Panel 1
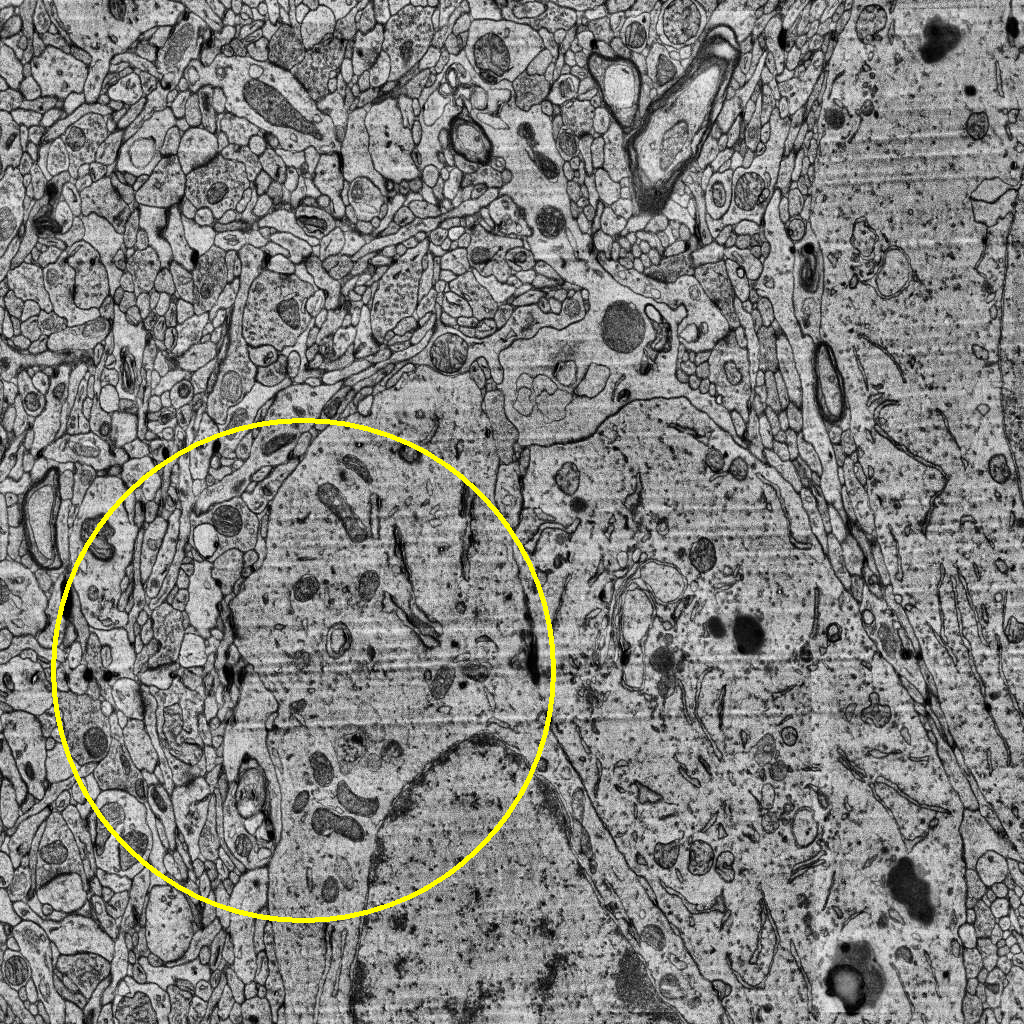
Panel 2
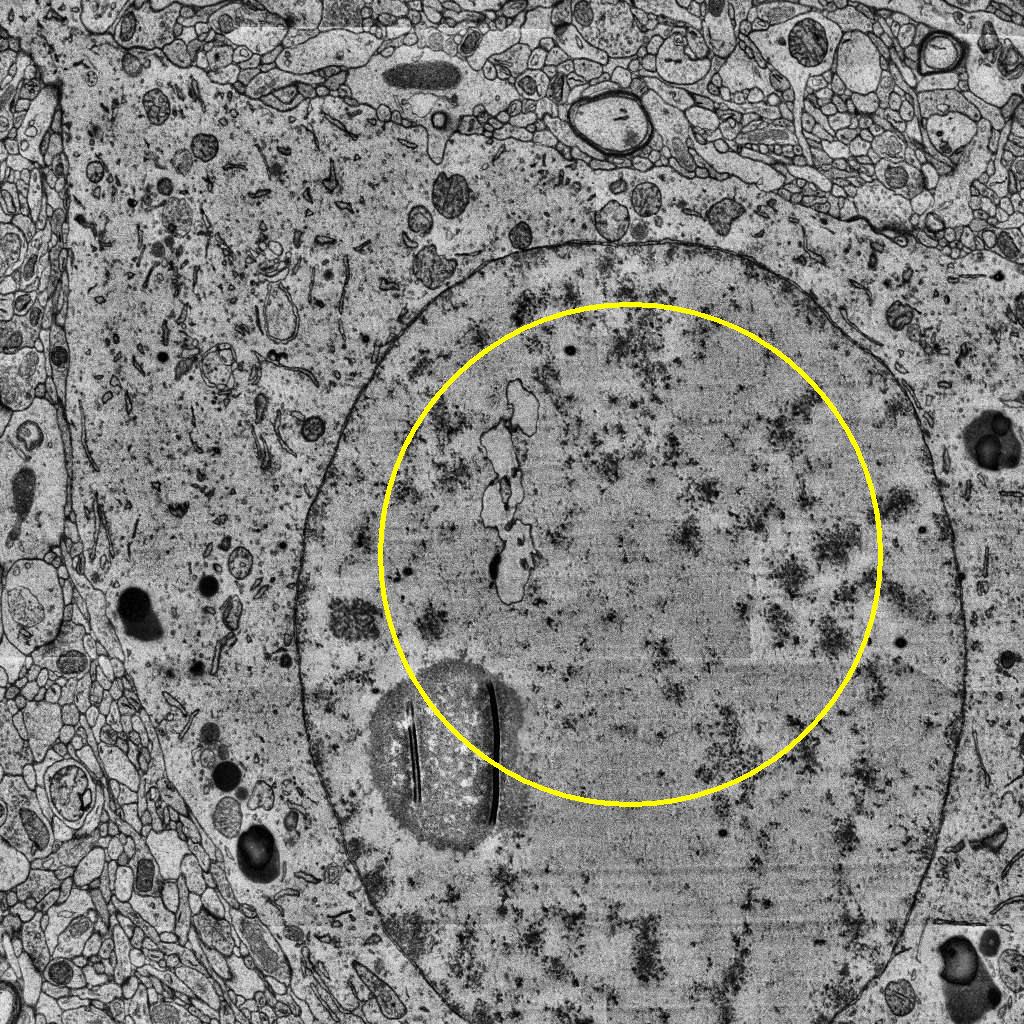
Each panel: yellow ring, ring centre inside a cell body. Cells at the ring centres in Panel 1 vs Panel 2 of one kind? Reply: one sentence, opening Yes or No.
No, Panel 1 and Panel 2 have cells of two kinds at the ring centres.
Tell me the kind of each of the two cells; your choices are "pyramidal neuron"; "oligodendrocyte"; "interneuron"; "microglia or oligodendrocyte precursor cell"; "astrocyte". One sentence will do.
The second cell is a pyramidal neuron, while the first is a microglial cell or oligodendrocyte precursor cell.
